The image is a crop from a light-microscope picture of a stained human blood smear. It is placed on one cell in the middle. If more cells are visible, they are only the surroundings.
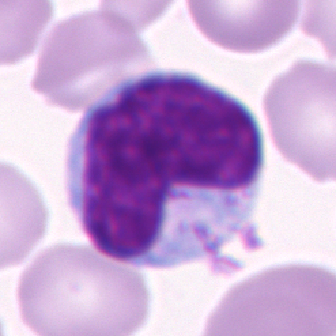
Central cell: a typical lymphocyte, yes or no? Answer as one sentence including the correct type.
No, the cell in the centre is to be called a large granular lymphocyte instead of a typical lymphocyte.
